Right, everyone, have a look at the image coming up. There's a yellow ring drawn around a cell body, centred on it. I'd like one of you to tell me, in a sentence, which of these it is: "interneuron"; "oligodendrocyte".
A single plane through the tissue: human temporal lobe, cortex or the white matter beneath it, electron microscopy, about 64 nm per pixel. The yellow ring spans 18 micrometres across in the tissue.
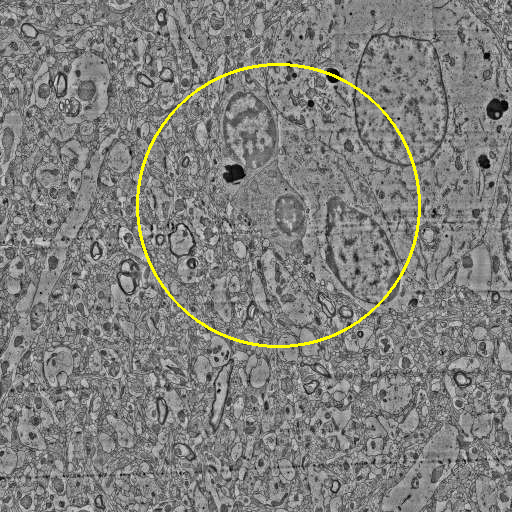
The yellow ring sits on an oligodendrocyte.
